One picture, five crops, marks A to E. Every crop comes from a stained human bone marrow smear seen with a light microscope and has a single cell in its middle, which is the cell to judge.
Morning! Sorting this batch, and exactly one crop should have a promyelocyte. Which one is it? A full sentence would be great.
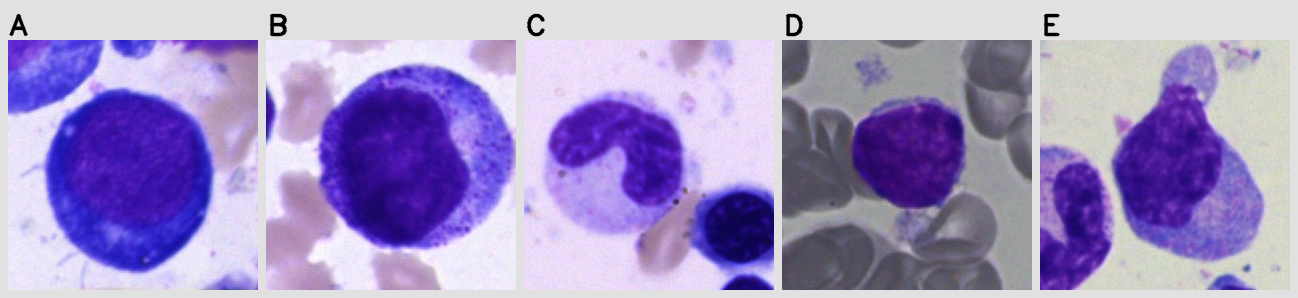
Crop B is identified as the crop showing a promyelocyte.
